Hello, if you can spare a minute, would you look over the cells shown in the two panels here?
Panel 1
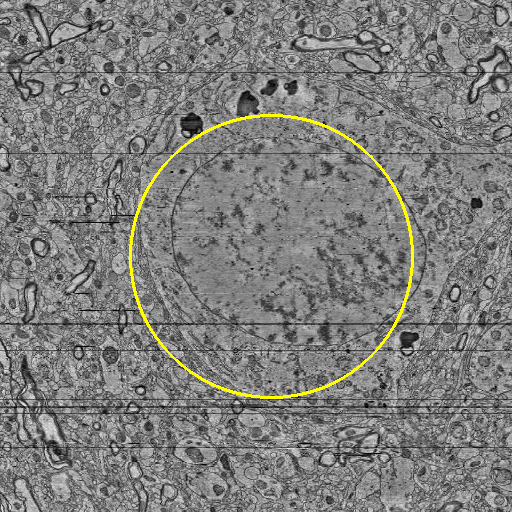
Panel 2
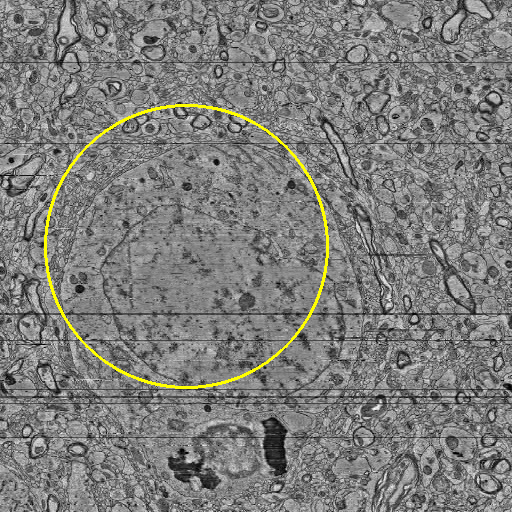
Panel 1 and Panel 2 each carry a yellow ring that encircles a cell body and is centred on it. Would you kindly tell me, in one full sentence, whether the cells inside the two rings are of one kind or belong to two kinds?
The cells at the centres of the rings in Panel 1 and Panel 2 are of one kind.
